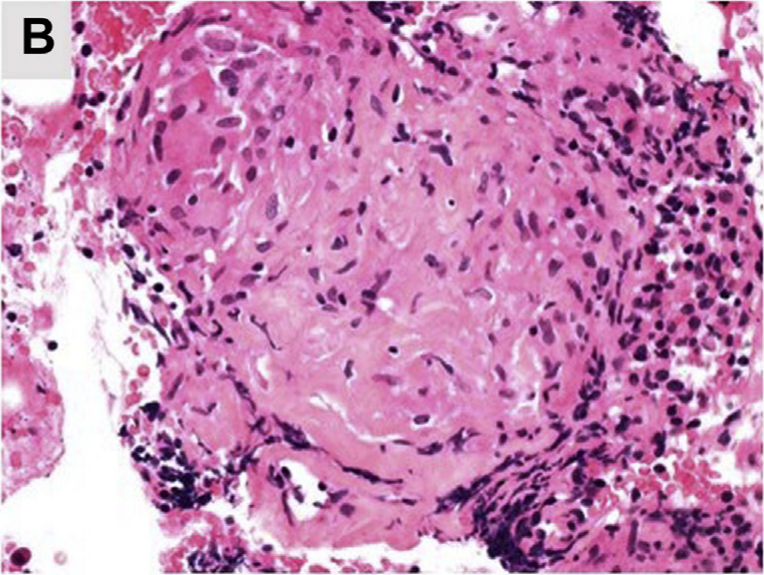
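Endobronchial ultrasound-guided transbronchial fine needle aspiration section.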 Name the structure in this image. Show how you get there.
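A rounded, compact aggregate of cells with pale elongated nuclei and abundant pink cytoplasm. A rim of small dark round cells surrounds the aggregate. No central necrotic debris is present.
Non-necrotizing granuloma.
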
